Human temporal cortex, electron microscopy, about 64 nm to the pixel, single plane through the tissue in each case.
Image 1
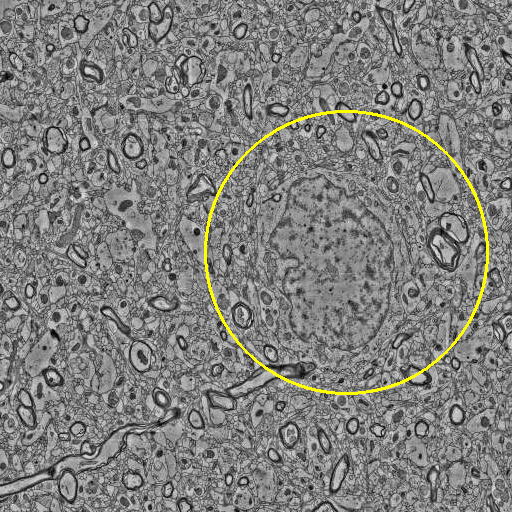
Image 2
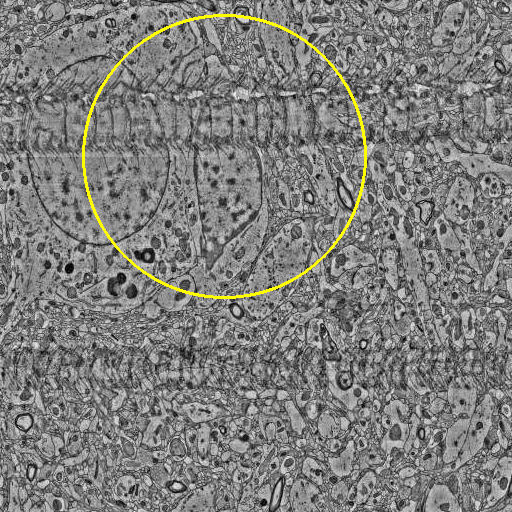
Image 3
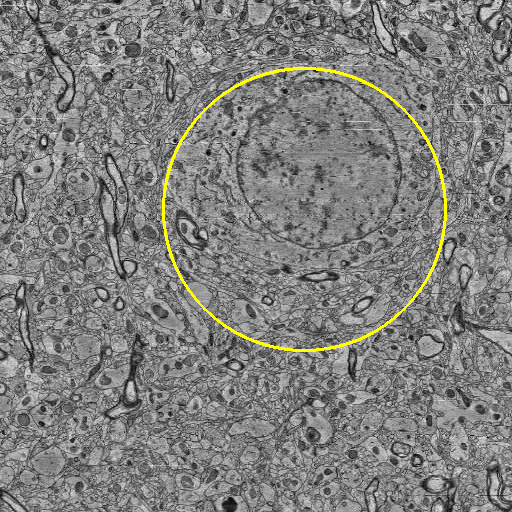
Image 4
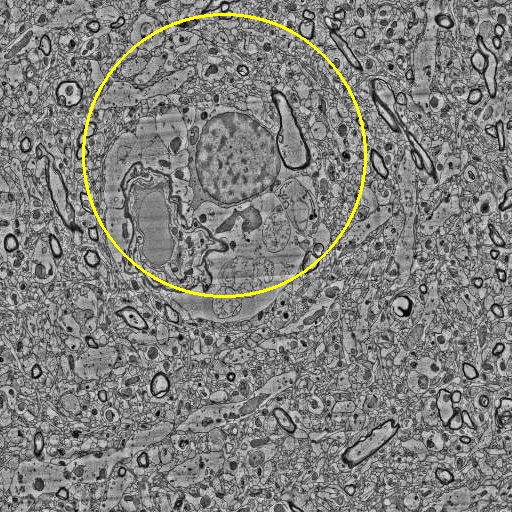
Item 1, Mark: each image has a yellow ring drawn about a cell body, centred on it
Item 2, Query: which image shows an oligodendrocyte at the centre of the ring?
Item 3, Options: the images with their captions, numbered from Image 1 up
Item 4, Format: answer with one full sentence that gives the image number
My answer is image 4, where the cell at the ring's centre fits.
